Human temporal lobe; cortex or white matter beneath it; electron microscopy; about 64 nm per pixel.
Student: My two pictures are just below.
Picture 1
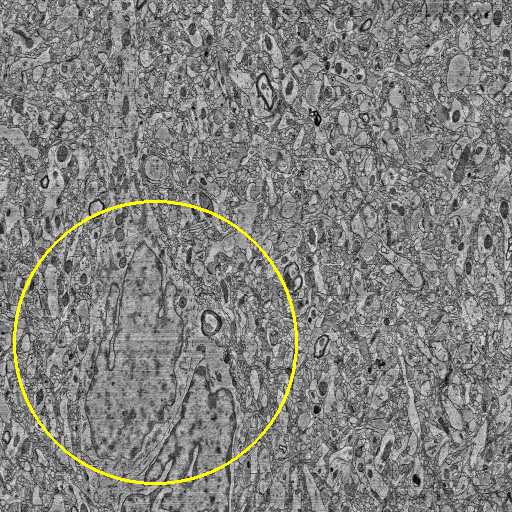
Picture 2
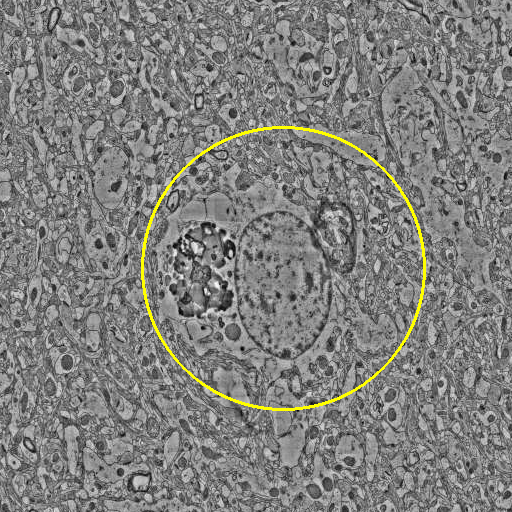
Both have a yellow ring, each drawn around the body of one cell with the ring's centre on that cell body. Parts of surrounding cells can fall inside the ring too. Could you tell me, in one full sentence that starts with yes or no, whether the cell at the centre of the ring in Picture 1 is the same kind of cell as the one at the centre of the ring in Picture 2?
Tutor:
No, the two cells are of two kinds.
